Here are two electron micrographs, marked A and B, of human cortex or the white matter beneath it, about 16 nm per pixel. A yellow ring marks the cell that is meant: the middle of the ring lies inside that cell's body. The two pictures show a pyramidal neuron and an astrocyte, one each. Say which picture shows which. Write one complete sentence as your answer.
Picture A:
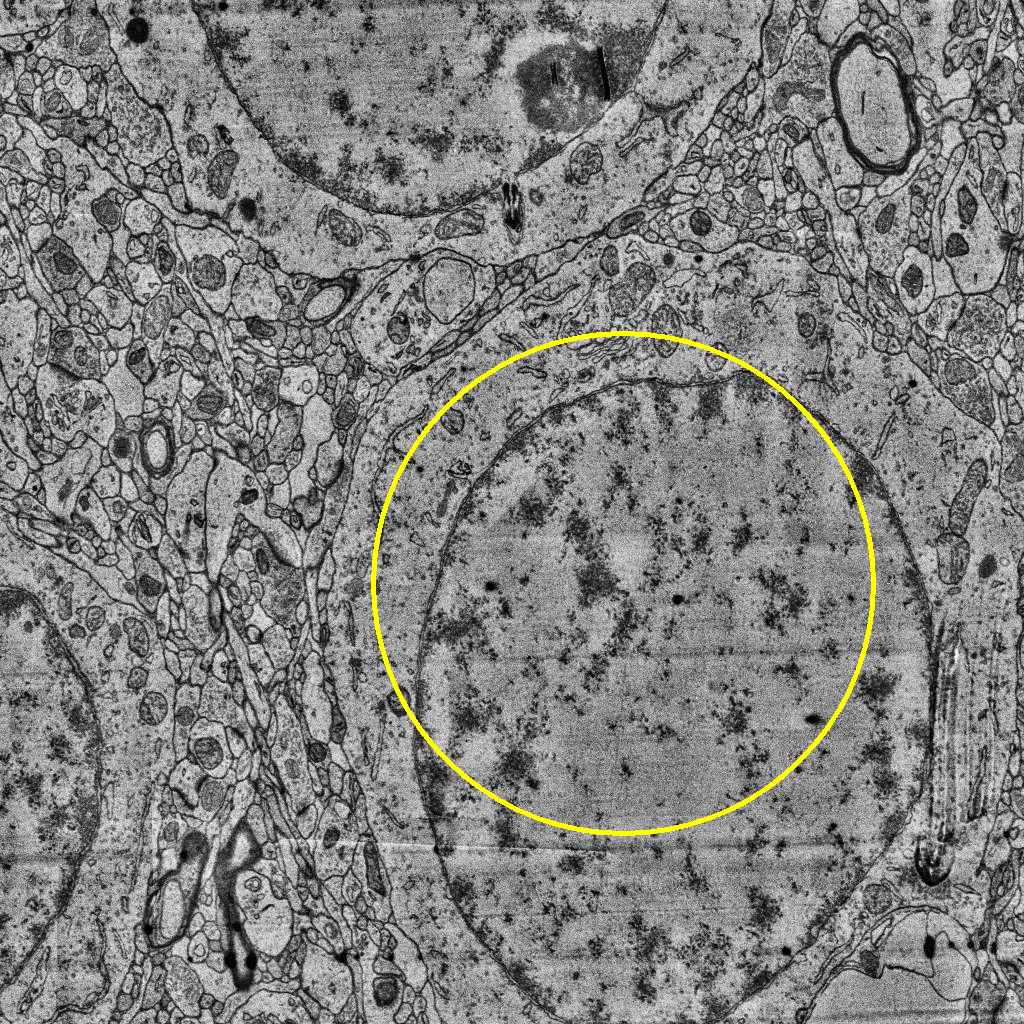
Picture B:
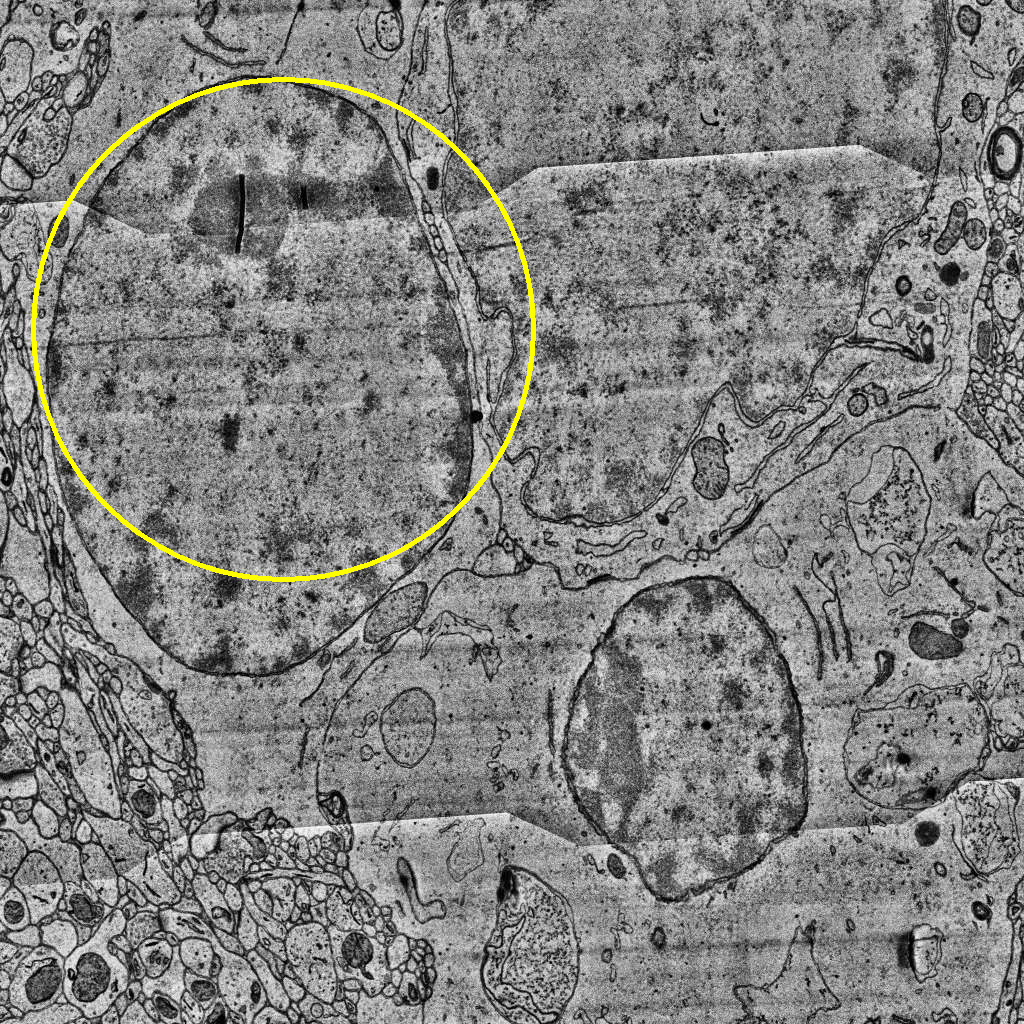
In picture A the cell is a pyramidal neuron; in picture B, an astrocyte.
